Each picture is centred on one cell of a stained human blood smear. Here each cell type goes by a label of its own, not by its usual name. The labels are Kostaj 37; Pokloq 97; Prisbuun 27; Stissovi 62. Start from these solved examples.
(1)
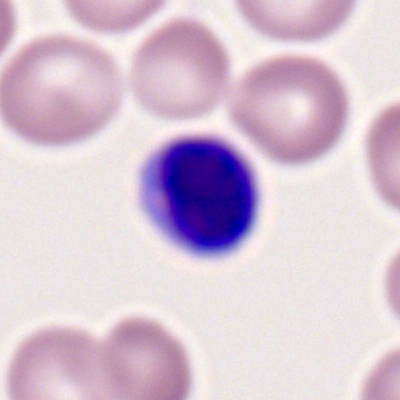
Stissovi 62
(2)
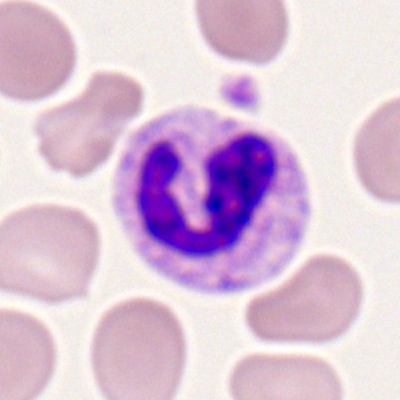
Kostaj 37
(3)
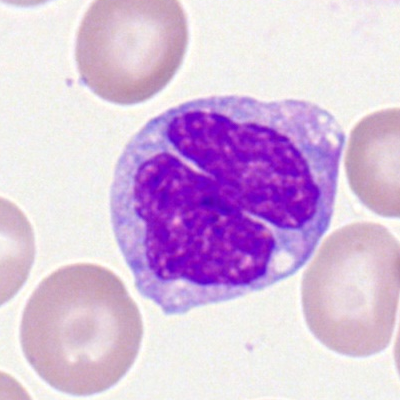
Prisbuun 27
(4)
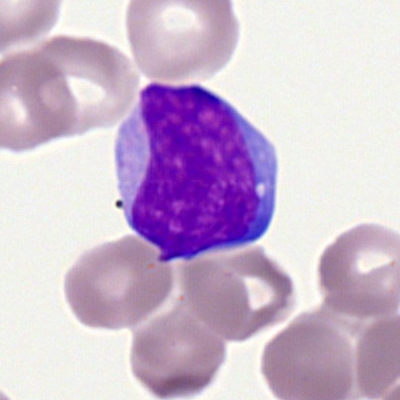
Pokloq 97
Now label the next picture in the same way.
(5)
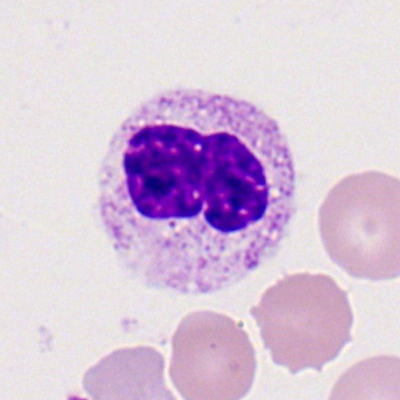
Kostaj 37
